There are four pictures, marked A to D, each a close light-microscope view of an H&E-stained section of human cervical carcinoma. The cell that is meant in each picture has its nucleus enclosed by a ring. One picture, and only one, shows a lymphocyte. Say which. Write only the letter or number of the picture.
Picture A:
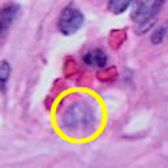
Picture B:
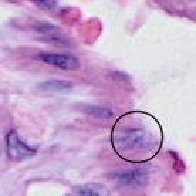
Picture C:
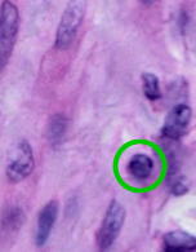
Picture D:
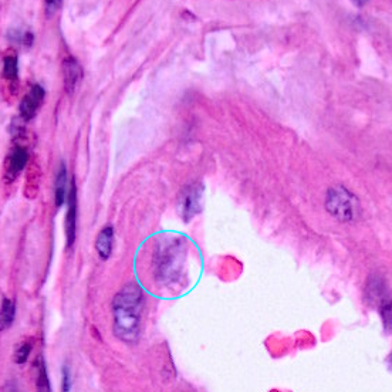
C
